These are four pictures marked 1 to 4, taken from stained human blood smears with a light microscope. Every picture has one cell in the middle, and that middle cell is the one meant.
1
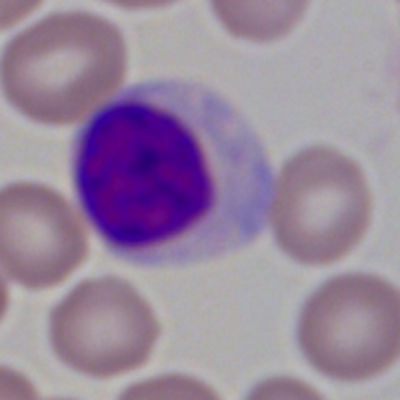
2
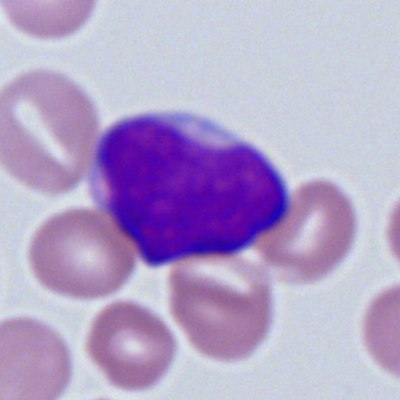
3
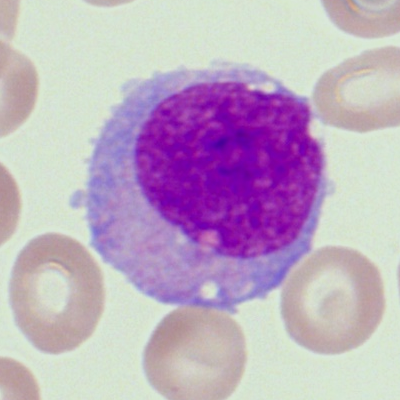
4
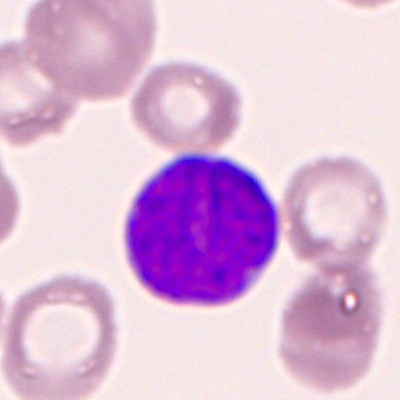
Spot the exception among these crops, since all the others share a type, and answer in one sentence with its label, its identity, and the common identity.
For this set, crop 1 is a lymphocyte, and all the rest are myeloblasts.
